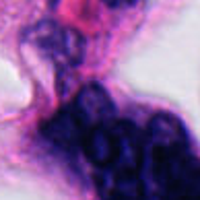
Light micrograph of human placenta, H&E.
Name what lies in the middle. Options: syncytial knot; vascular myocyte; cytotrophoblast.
syncytial knot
